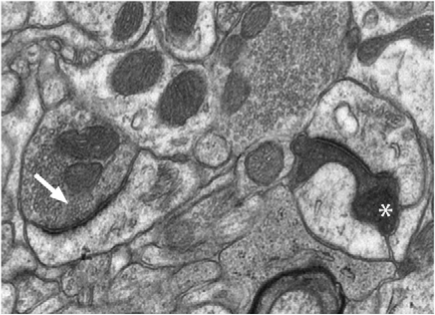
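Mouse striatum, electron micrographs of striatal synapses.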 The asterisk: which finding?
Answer: Degenerating synaptic profiles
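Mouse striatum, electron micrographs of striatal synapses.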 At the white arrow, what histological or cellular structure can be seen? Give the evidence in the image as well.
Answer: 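The arrow points to a terminal filled with small round vesicles and mitochondria. So: healthy (i.e. non-degenerating) synaptic profiles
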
